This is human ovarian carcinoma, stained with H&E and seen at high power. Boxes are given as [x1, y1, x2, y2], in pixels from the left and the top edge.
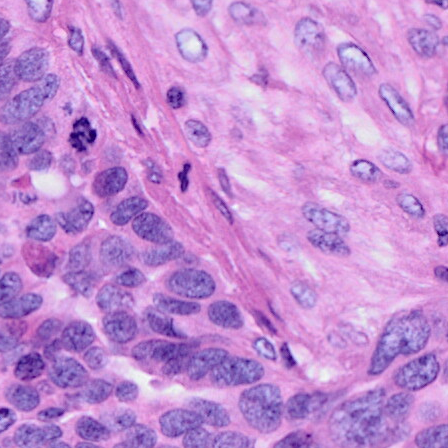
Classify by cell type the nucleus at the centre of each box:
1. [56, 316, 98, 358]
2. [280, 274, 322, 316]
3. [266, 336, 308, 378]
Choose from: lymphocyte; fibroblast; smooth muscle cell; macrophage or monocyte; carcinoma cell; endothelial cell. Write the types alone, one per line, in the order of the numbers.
carcinoma cell
fibroblast
fibroblast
